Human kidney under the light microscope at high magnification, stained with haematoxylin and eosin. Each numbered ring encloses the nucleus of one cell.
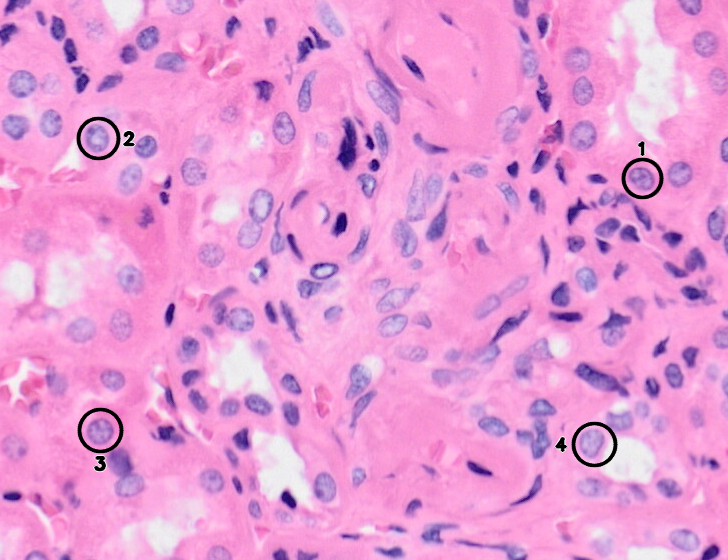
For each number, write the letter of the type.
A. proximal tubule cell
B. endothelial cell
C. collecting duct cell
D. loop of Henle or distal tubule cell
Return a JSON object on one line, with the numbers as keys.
{"1": "A", "2": "C", "3": "A", "4": "C"}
